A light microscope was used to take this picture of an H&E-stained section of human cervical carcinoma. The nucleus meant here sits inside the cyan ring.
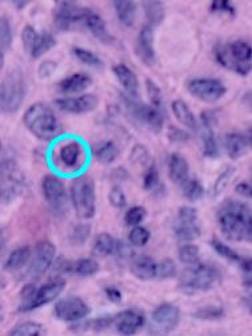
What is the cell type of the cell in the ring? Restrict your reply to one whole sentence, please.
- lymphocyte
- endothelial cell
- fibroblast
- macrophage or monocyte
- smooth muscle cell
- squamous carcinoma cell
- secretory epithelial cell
In cellular terms, the cell in the ring is a squamous carcinoma cell.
